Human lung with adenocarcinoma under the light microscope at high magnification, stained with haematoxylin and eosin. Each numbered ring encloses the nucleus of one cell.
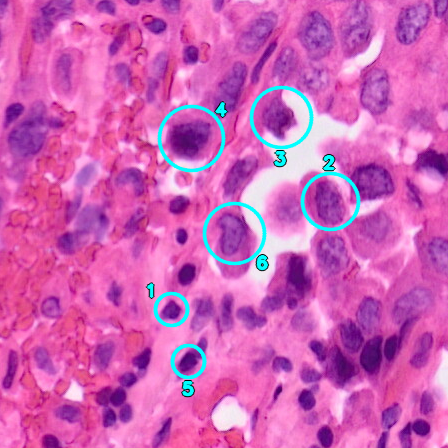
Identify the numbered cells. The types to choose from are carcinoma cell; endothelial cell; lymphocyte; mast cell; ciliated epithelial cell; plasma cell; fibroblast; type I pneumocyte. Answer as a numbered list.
1. lymphocyte
2. carcinoma cell
3. carcinoma cell
4. carcinoma cell
5. plasma cell
6. carcinoma cell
